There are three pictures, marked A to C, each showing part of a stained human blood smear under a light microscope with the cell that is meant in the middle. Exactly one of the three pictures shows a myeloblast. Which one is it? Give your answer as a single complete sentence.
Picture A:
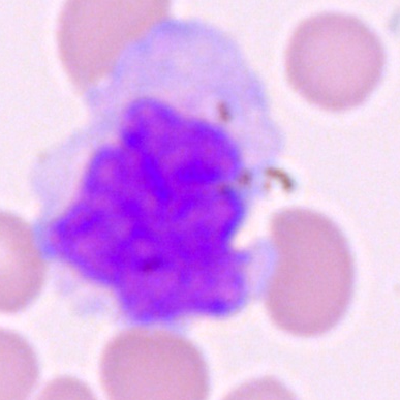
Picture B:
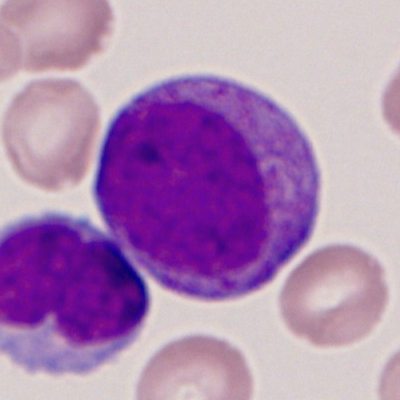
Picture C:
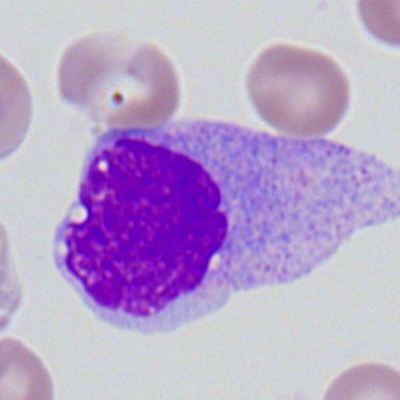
The cell in picture B is the myeloblast.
